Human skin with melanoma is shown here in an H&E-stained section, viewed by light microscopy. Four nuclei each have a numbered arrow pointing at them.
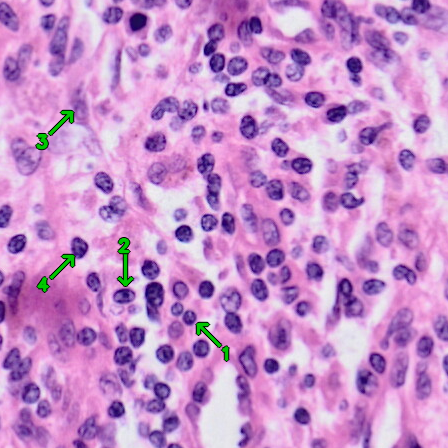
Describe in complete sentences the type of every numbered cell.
Cells 1, 2 and 4 are lymphocytes. Cell 3 is a fibroblast or myofibroblast.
